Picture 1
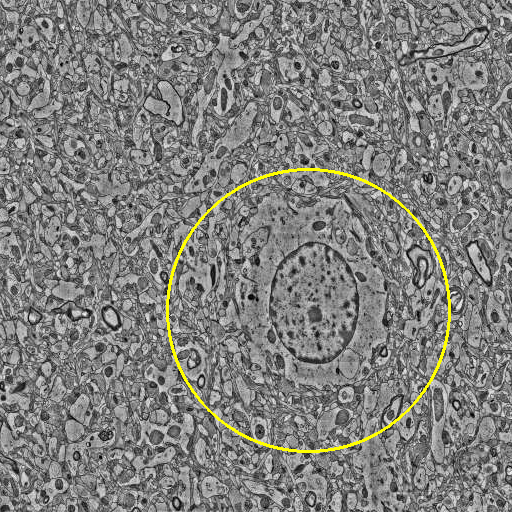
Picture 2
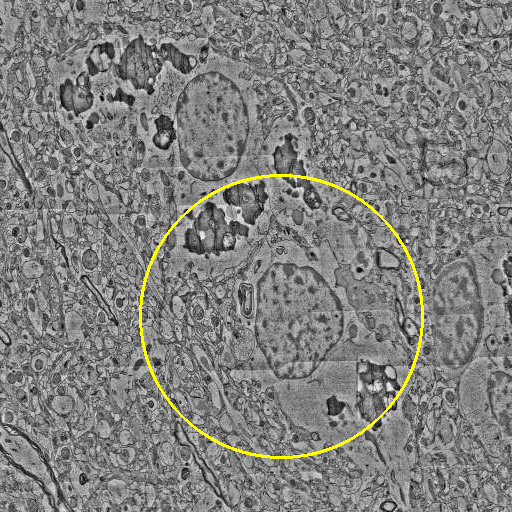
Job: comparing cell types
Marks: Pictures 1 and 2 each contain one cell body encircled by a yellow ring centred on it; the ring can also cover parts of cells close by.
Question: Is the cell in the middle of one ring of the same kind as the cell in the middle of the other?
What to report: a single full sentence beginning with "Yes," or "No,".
Yes, the cell at the ring centre in Picture 1 and its partner in Picture 2 are of one kind.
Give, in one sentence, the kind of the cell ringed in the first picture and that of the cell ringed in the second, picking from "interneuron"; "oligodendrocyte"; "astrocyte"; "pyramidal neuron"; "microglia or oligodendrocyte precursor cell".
Each of the two cells is an astrocyte.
